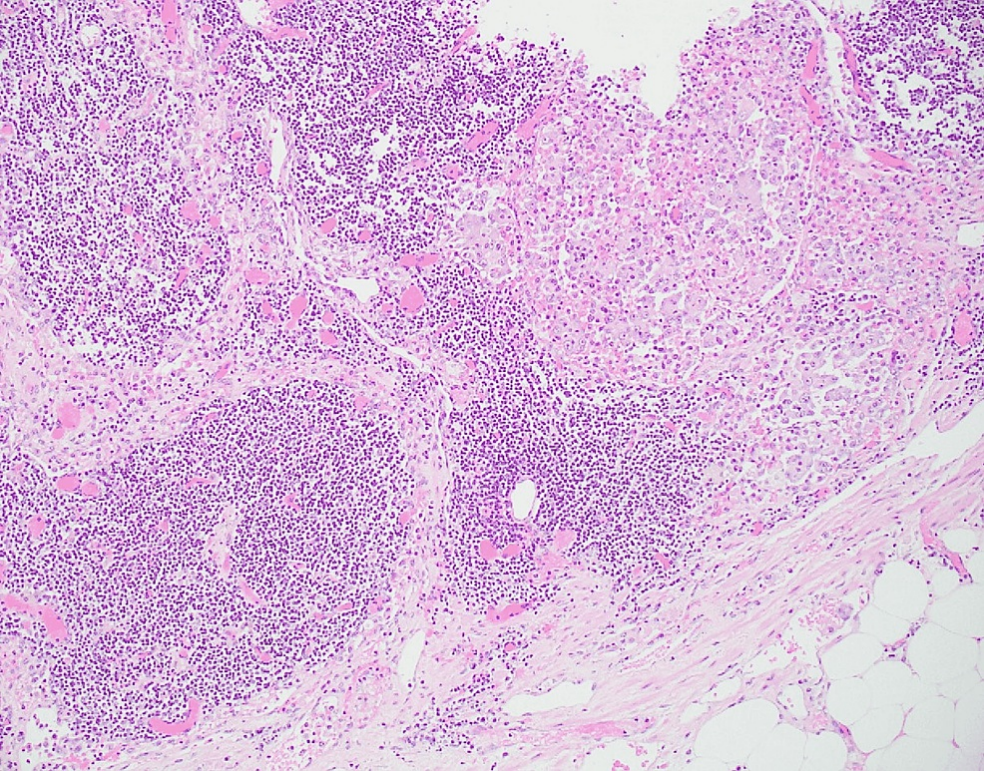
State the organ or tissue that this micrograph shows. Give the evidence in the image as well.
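Dense sheets of small, dark, round cells fill most of the field. A fibrous band runs along the lower right edge. Fat cells lie outside this band at the bottom right. That points to this answer: Lymph node.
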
